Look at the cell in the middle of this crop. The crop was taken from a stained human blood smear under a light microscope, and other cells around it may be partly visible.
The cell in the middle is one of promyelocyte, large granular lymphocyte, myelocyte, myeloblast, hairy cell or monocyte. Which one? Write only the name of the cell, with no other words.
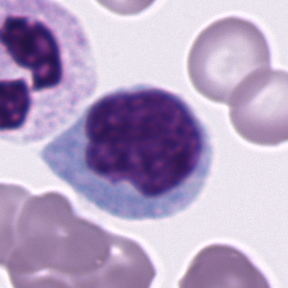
monocyte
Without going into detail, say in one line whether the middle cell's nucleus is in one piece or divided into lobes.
The nucleus amounts to one compact mass with a round, oval or kidney-shaped outline.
